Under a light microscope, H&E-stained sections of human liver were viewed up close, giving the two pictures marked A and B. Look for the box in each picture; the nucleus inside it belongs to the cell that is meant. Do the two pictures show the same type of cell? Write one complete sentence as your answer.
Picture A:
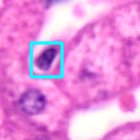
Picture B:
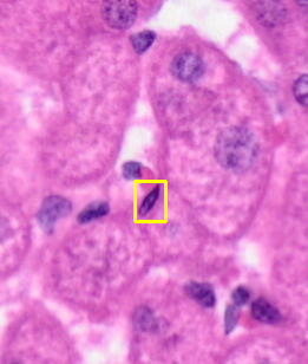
No, picture A shows a Kupffer cell and picture B shows a “fibroblast or stellate cell”.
